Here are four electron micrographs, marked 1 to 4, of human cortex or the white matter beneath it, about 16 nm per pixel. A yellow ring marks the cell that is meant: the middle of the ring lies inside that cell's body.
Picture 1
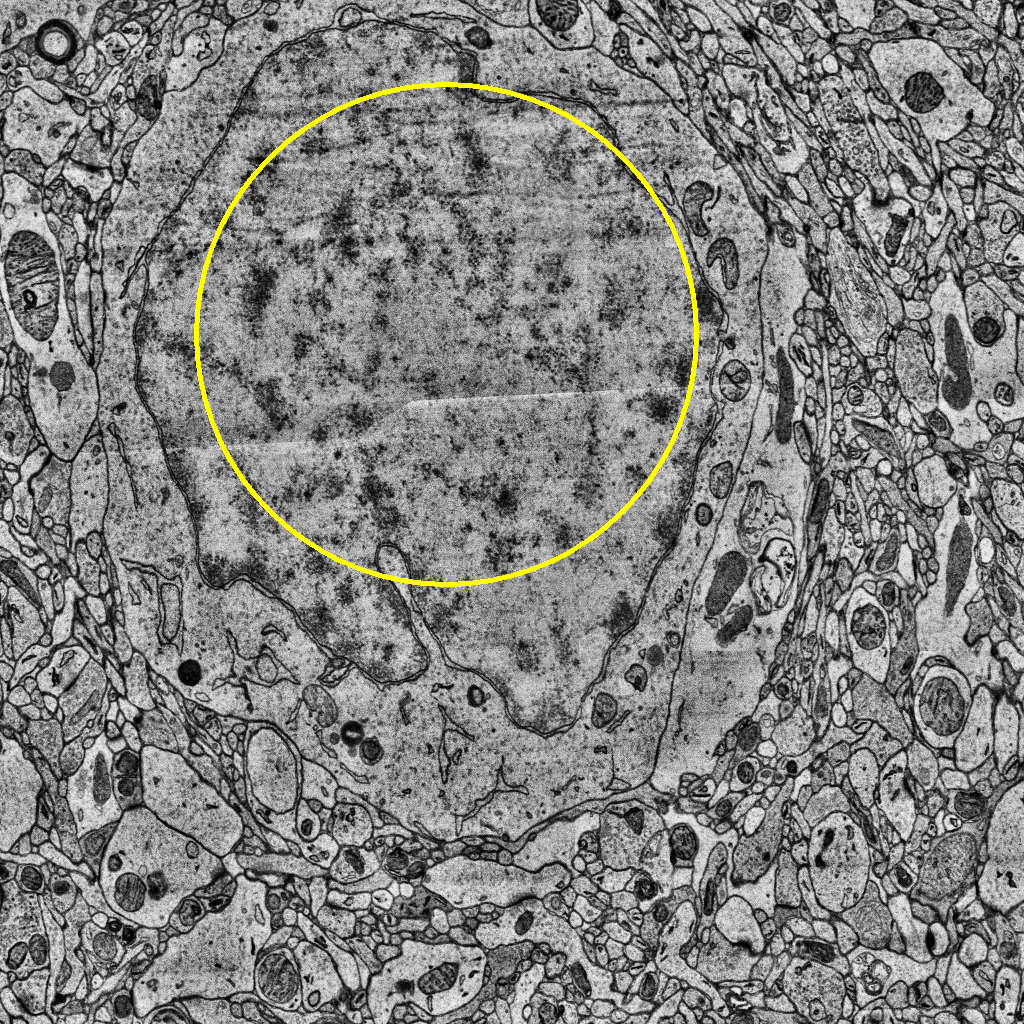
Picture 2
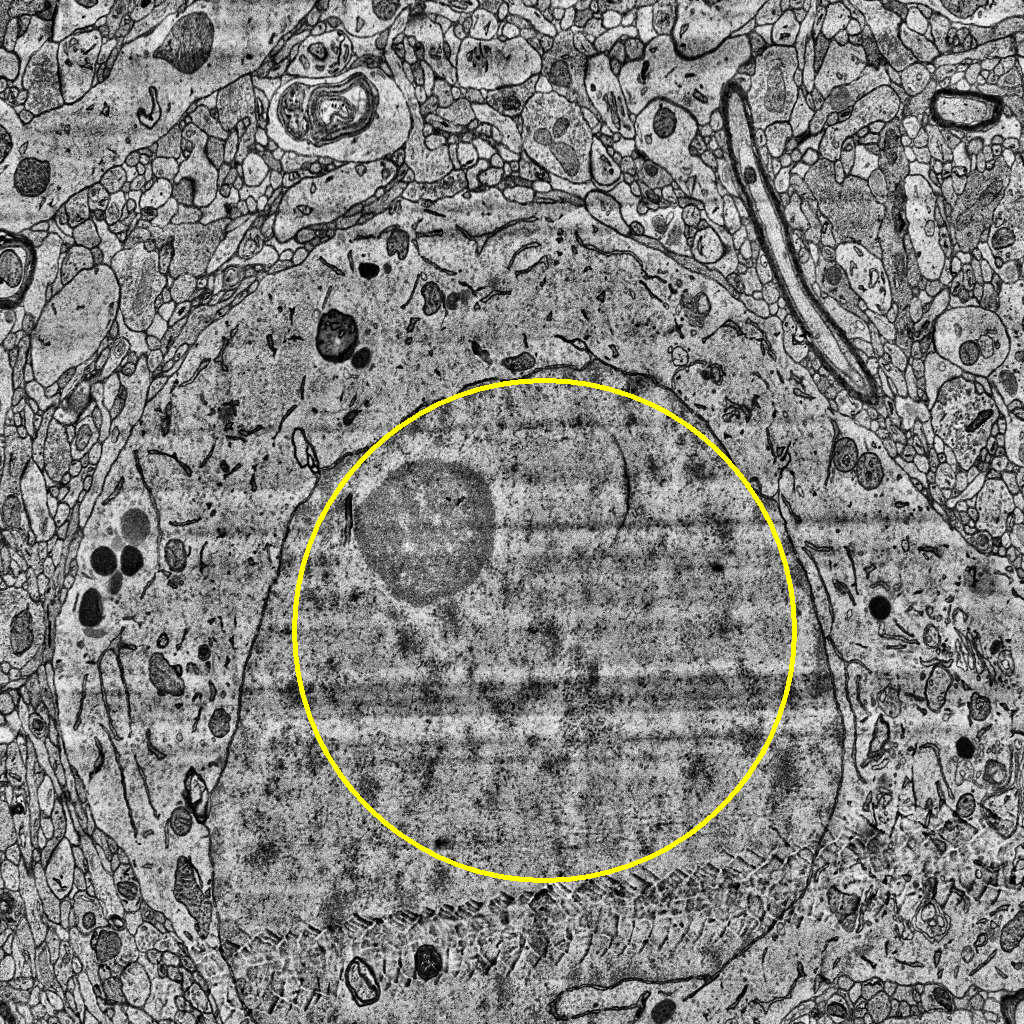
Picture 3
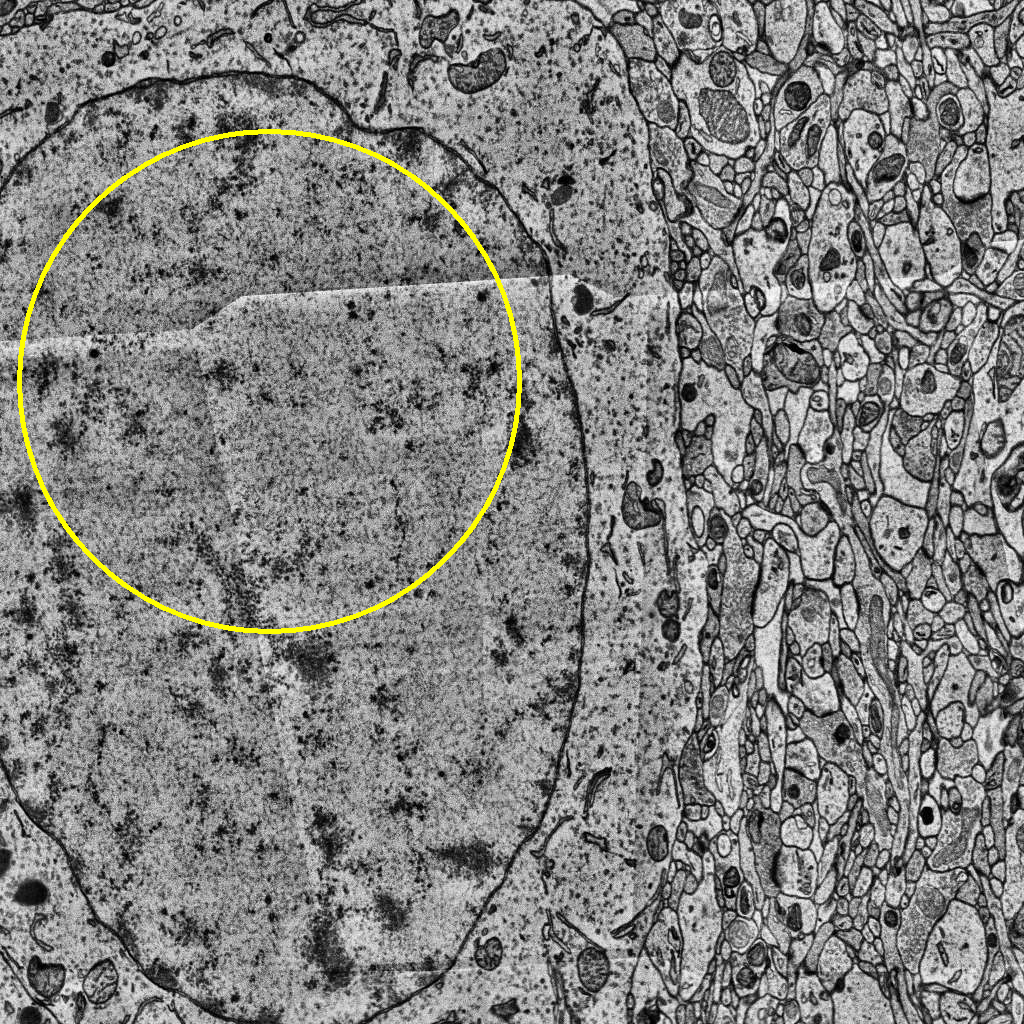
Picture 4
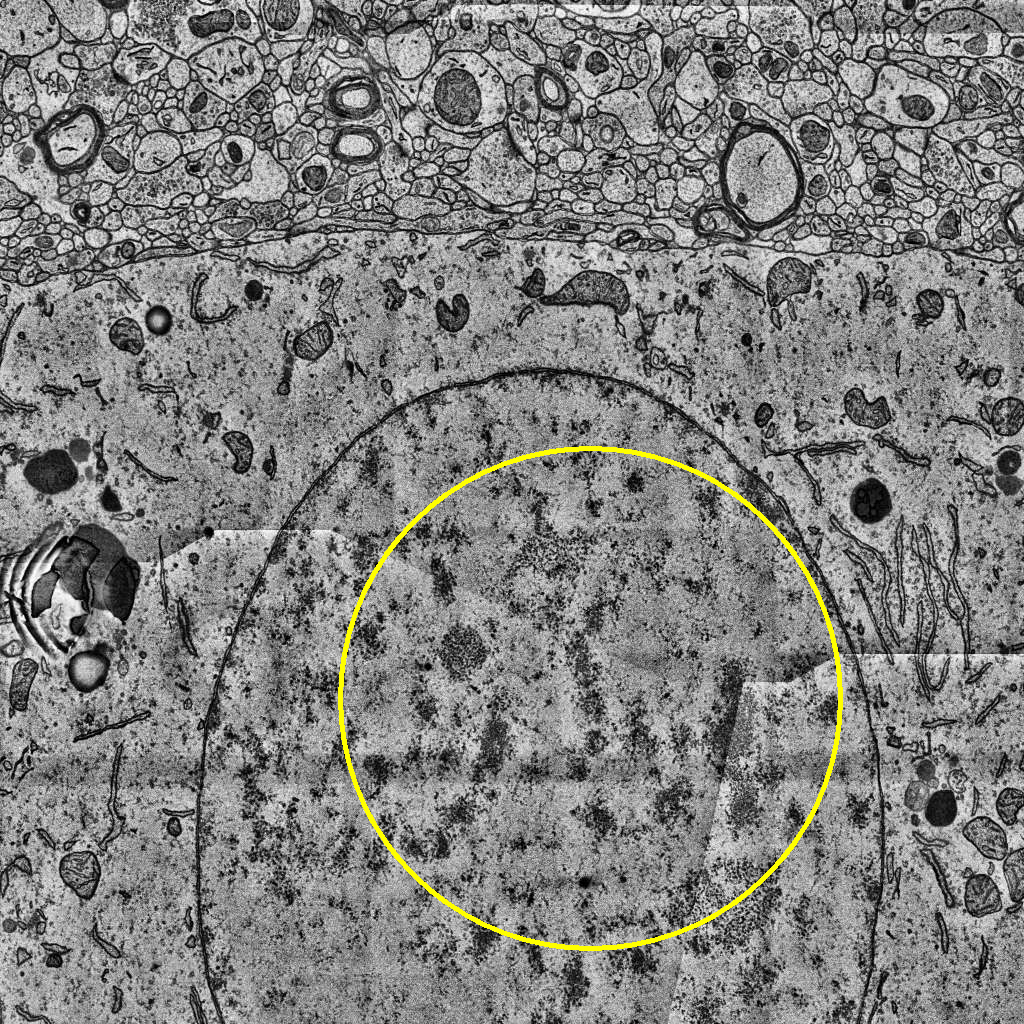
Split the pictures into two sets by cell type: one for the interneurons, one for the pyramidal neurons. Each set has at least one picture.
Picture 1 shows an interneuron, while pictures 2, 3 and 4 show pyramidal neurons.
